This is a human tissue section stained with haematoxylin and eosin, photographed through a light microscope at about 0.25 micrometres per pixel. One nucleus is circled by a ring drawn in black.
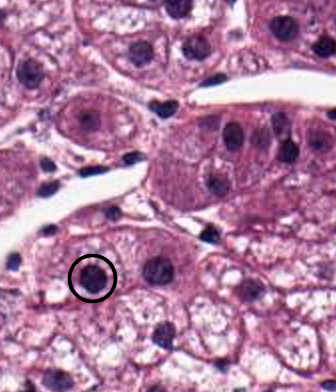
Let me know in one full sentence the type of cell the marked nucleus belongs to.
It is an adrenal cortical cell whose nucleus is marked.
